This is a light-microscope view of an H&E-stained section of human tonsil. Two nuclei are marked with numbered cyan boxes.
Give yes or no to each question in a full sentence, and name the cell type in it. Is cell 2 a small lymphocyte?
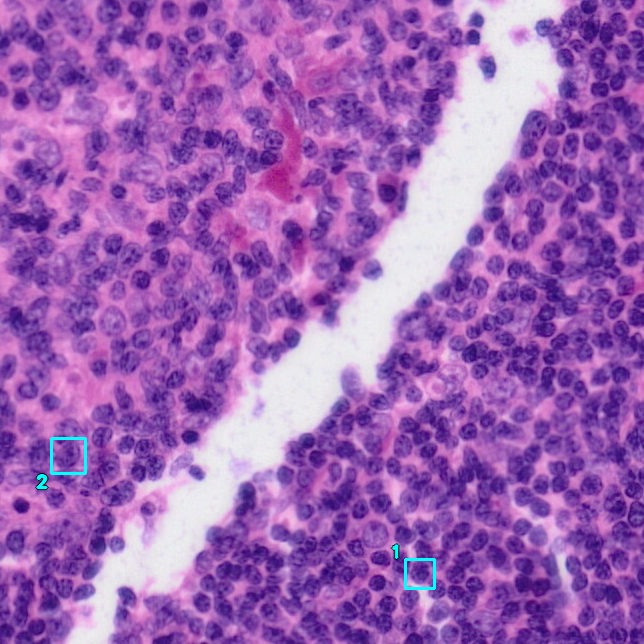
No, number 2 marks a proliferating B cell rather than a small lymphocyte.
